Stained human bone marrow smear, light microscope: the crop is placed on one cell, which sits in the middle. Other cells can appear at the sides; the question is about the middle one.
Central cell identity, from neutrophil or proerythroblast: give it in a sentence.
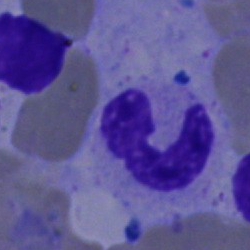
Whatever else lies nearby, the middle cell is a neutrophil.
